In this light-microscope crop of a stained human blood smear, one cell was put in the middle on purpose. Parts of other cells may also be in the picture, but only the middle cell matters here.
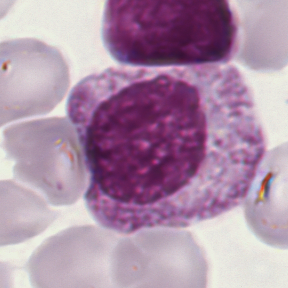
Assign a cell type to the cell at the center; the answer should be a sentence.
The cell marked by its central position in the crop is a myelocyte.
